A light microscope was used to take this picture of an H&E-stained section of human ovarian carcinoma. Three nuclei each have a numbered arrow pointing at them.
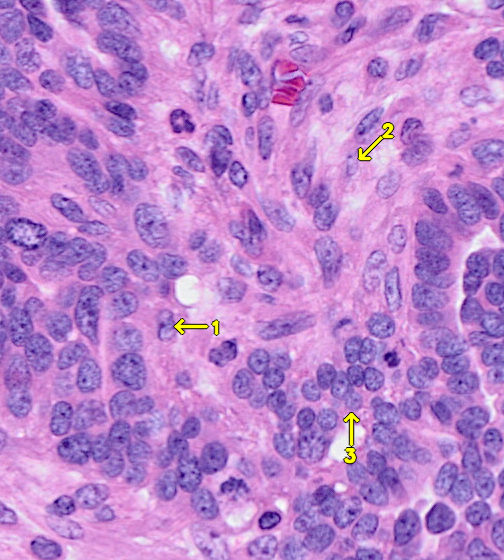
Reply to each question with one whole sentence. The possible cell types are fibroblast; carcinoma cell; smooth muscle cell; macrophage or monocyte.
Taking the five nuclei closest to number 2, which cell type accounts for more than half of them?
Around number 2, most of the five nearest nuclei are those of fibroblasts.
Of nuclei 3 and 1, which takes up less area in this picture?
Nucleus 3 covers less area, with nucleus 1 about 2 times as large.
